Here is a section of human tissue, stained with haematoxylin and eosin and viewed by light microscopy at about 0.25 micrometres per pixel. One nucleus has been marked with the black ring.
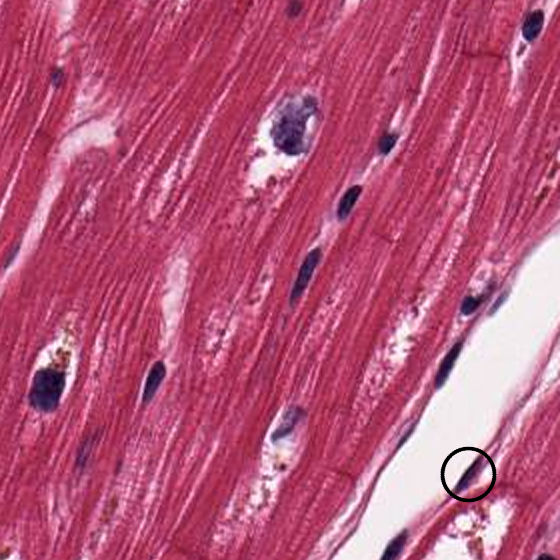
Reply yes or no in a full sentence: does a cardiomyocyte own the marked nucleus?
No, a cardiomyocyte does not own the marked nucleus, which belongs to a supporting cell.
